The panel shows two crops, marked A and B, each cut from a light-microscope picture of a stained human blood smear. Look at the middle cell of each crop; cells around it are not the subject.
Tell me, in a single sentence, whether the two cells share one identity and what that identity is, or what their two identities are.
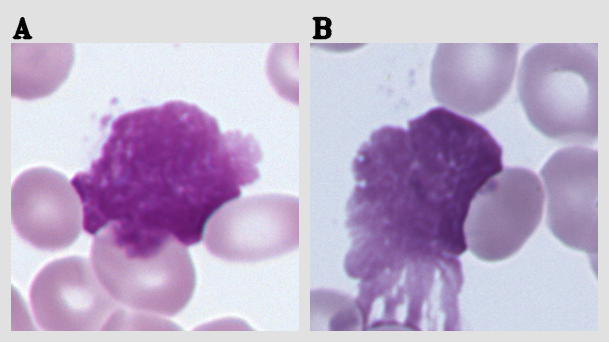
Yes, smudge cells are depicted in both crops.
